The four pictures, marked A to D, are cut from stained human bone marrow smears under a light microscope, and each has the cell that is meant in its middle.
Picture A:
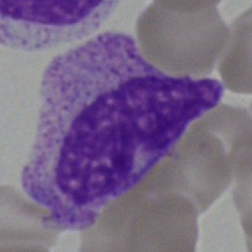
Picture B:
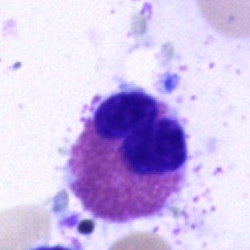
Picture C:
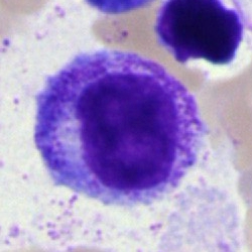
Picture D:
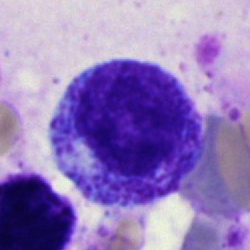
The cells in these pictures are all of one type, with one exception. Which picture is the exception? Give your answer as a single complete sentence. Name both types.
Picture B differs, because its cell is an eosinophil and the rest are myelocytes.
